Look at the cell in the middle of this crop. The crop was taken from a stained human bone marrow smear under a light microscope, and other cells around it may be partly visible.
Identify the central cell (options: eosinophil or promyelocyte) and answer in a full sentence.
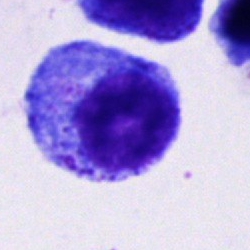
The central cell in this smear crop is a promyelocyte.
